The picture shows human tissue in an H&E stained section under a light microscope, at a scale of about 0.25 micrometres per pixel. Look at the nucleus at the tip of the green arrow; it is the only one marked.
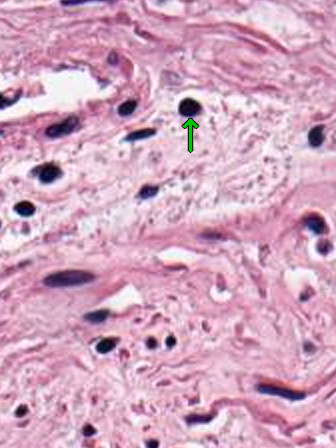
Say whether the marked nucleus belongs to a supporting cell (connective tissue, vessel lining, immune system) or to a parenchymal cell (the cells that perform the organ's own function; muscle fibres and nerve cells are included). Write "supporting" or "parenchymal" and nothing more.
supporting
